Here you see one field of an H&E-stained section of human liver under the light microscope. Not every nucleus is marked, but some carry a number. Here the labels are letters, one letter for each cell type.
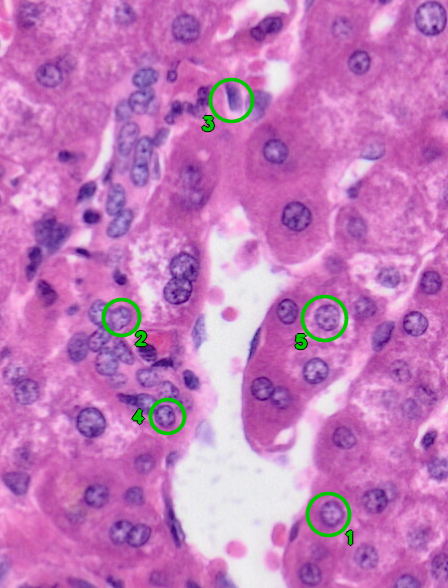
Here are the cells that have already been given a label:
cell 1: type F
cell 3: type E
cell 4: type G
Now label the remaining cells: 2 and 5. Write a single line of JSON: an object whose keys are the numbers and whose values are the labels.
{"2": "type G", "5": "type F"}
